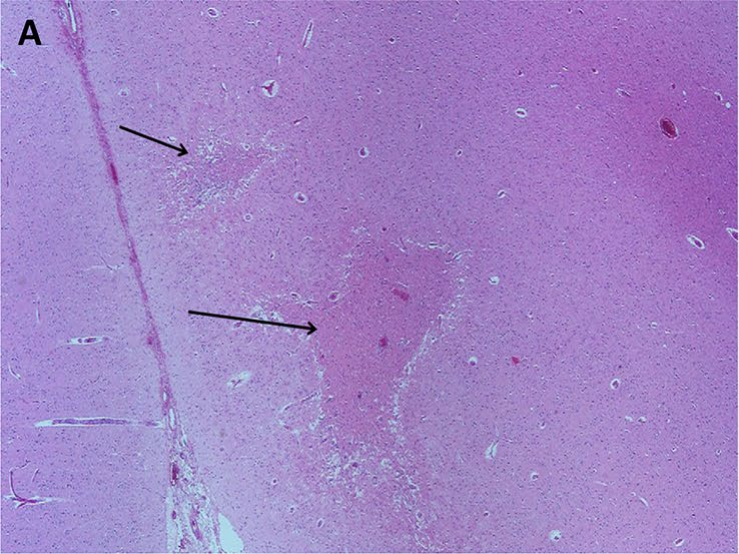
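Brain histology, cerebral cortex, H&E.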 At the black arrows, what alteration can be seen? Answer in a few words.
microinfarcts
